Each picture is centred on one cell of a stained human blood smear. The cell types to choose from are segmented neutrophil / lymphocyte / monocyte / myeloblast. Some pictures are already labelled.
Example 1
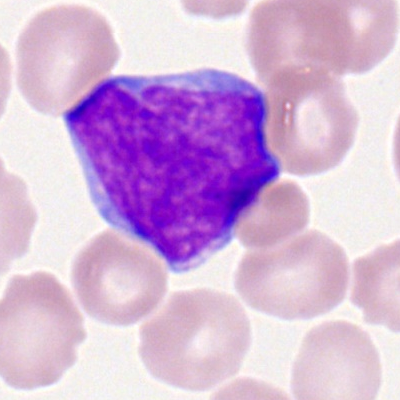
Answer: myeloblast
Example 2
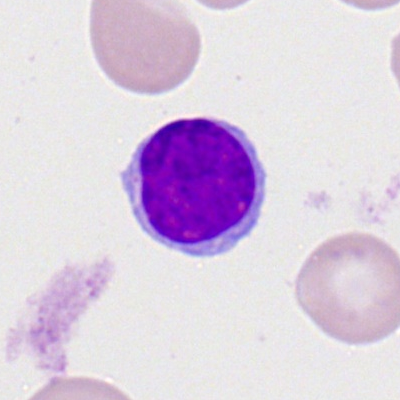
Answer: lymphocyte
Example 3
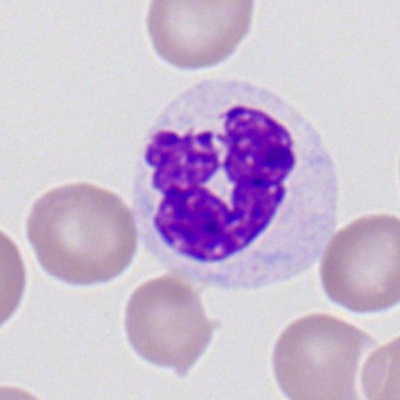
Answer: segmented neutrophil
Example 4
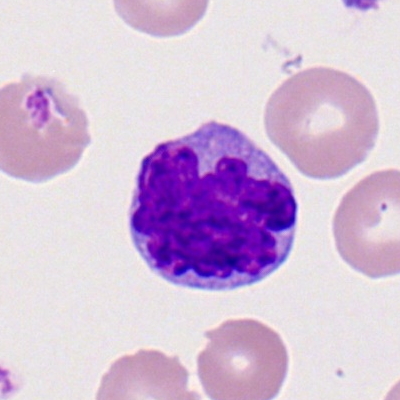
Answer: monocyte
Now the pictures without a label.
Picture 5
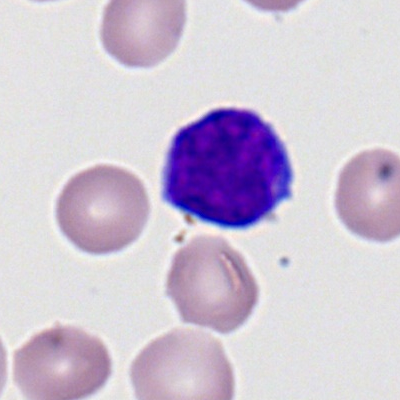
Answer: lymphocyte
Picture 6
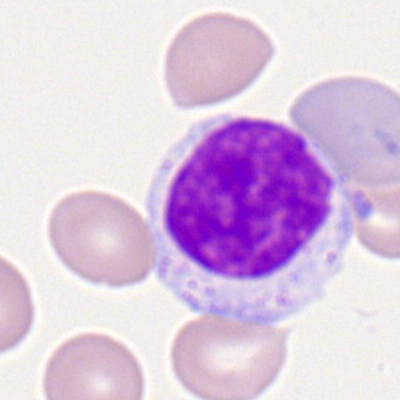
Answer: lymphocyte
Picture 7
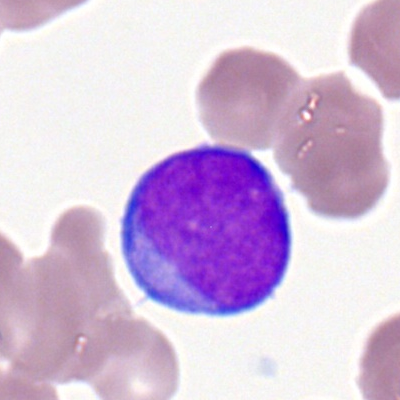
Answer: myeloblast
